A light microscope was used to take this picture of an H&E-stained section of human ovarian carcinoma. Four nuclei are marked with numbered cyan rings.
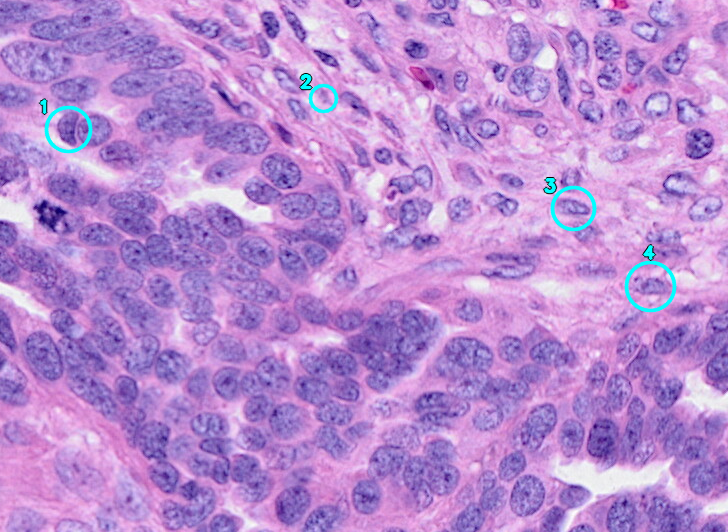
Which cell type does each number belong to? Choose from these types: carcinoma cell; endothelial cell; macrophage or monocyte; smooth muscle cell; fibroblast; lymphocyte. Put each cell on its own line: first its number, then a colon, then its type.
1: carcinoma cell
2: fibroblast
3: fibroblast
4: fibroblast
